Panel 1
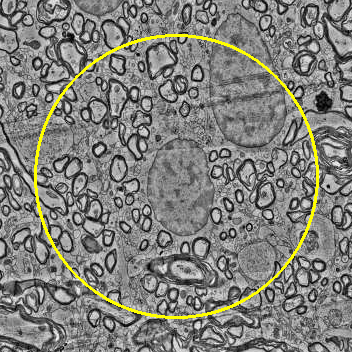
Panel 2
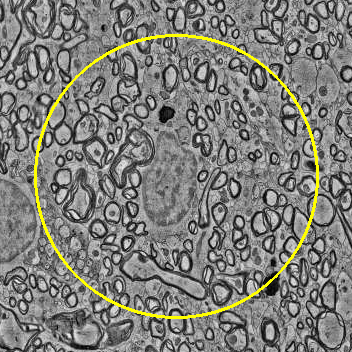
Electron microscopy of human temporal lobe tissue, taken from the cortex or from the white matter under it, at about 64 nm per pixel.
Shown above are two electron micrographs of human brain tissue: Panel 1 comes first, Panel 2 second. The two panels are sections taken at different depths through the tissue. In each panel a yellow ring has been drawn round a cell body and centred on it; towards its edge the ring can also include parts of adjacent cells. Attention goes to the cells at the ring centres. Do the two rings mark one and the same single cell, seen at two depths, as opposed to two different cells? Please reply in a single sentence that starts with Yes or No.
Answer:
No, the yellow rings highlight two different cells in the tissue.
